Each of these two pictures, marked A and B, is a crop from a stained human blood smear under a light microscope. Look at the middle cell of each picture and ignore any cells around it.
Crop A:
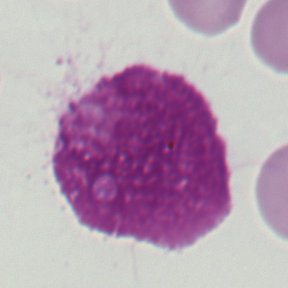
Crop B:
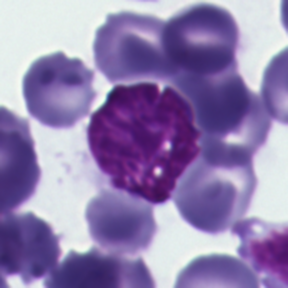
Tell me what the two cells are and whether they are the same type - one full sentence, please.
No, crop A has a smudge cell at its center, and crop B has a myeloblast.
